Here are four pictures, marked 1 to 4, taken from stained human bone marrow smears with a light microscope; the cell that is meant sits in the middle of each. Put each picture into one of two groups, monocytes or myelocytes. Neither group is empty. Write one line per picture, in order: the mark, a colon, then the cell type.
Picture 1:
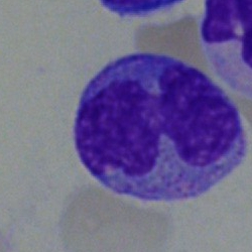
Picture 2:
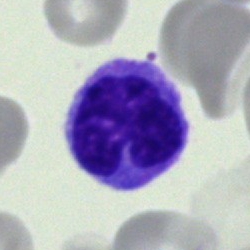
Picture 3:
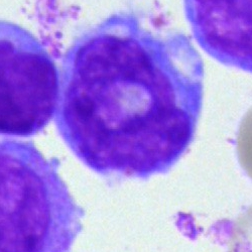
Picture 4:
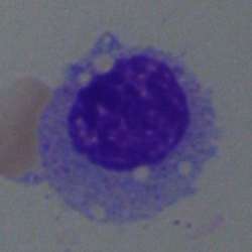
1: monocyte
2: monocyte
3: monocyte
4: myelocyte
